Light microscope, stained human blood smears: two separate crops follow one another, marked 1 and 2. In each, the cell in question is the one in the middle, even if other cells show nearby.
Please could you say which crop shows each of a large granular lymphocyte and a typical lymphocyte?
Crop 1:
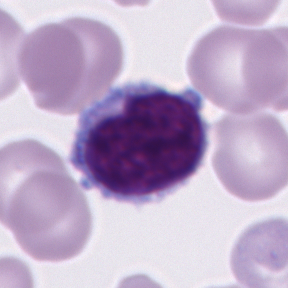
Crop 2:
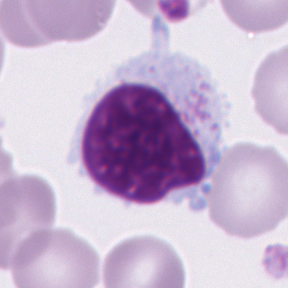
1: typical lymphocyte
2: large granular lymphocyte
